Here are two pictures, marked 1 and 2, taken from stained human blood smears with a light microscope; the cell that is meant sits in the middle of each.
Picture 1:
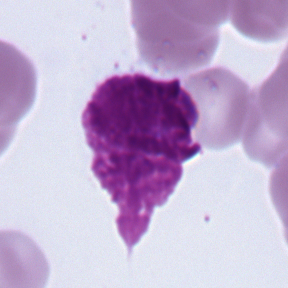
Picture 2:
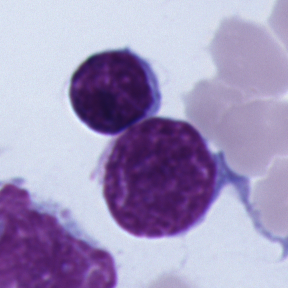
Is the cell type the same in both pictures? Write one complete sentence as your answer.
No. Picture 1 shows a smudge cell, but picture 2 shows a myeloblast.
